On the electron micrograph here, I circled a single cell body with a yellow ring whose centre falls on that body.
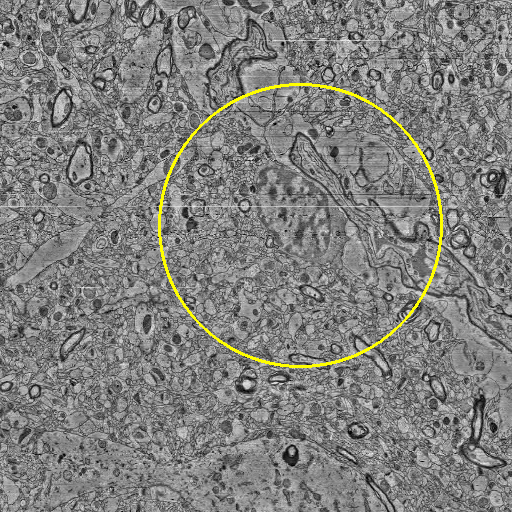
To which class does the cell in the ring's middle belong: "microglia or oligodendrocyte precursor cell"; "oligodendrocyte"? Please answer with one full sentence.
In this picture, the cell body circled at the ring's centre belongs to an oligodendrocyte.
